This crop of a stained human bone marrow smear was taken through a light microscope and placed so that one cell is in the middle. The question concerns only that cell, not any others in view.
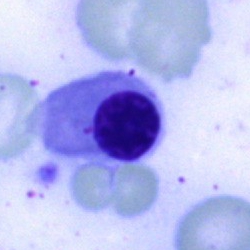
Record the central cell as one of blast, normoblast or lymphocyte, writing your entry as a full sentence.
The center cell of this crop is a normoblast.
